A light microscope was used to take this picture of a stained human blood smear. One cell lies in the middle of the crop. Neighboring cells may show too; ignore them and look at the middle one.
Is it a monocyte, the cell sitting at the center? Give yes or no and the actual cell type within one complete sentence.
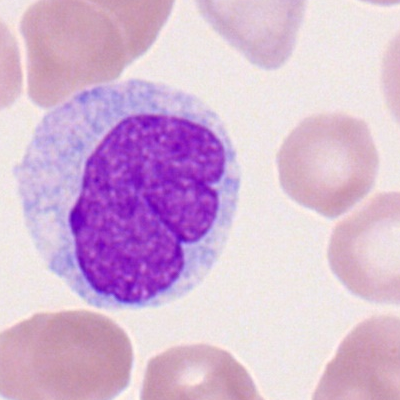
Yes, the cell occupying the center is a monocyte.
